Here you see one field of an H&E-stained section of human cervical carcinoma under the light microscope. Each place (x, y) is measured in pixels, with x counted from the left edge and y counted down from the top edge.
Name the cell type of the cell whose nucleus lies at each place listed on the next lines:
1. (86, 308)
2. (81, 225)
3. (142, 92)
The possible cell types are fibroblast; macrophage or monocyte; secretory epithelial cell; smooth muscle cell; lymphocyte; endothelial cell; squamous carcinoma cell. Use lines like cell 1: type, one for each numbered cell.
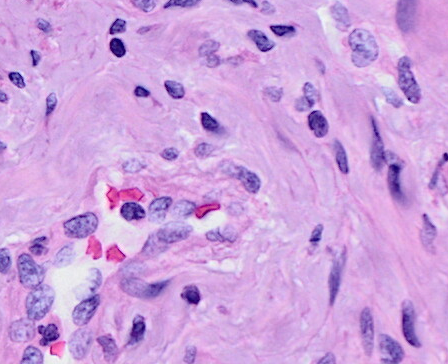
cell 1: endothelial cell
cell 2: endothelial cell
cell 3: fibroblast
